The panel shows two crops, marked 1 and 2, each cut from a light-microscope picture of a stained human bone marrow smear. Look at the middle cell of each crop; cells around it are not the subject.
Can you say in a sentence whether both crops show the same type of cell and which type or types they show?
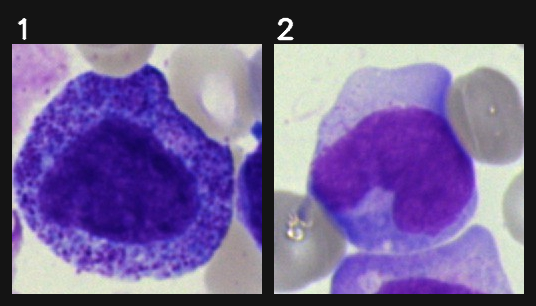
No, crop 1 shows a promyelocyte and crop 2 a blast.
